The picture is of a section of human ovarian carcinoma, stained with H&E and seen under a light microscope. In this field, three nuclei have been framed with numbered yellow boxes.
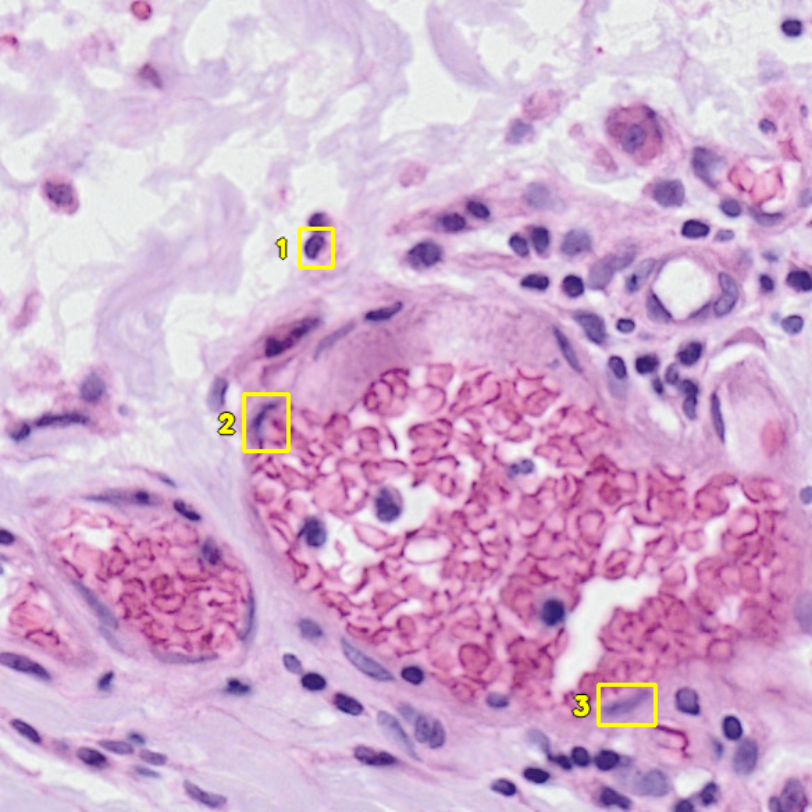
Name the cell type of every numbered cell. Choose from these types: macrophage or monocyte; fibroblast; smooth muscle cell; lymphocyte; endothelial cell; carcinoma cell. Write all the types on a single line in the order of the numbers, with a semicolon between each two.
lymphocyte; endothelial cell; endothelial cell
